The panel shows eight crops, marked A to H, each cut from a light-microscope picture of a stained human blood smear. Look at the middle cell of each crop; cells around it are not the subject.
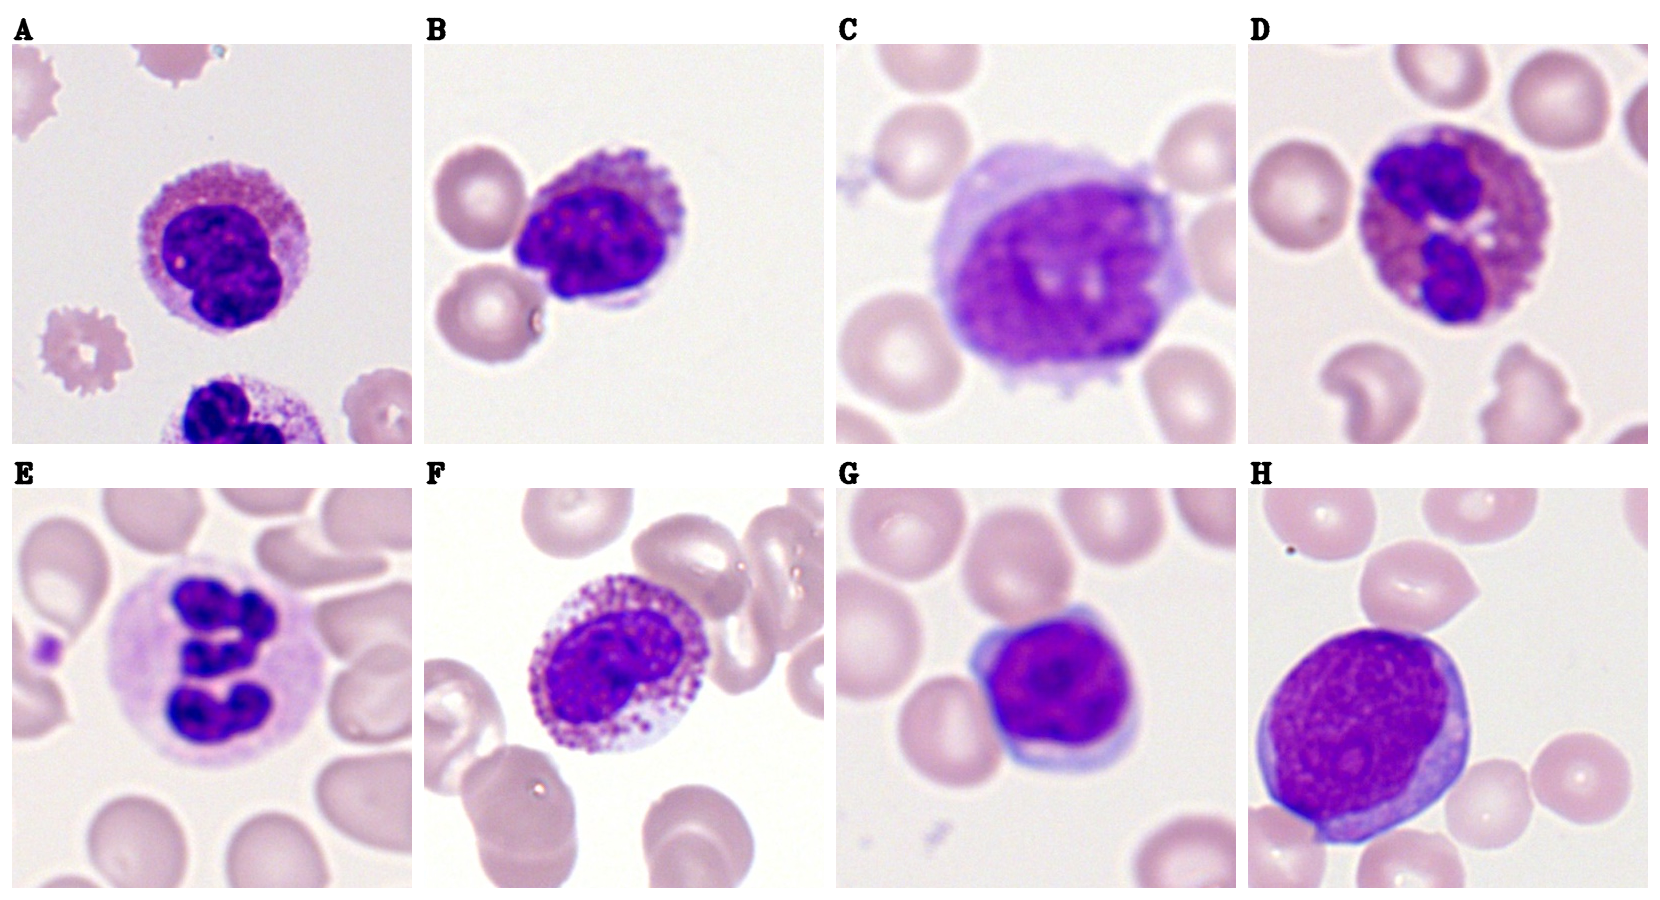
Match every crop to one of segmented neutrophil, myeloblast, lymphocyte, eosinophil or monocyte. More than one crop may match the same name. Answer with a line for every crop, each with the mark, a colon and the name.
A: eosinophil
B: eosinophil
C: monocyte
D: eosinophil
E: segmented neutrophil
F: eosinophil
G: lymphocyte
H: myeloblast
